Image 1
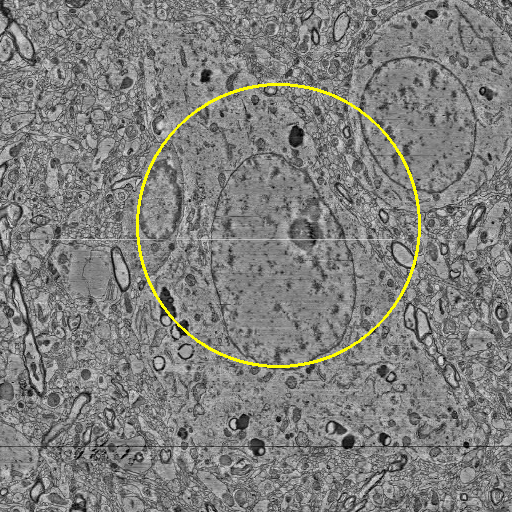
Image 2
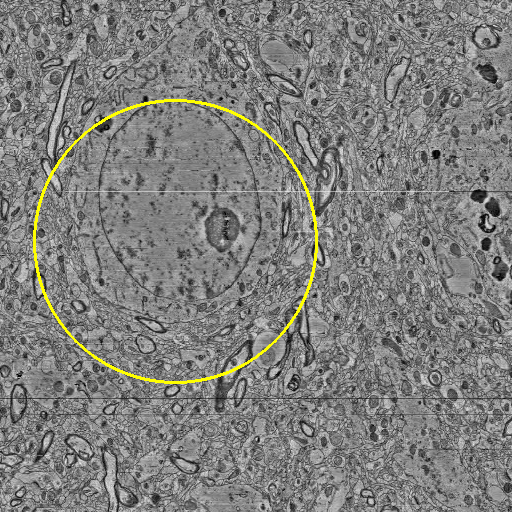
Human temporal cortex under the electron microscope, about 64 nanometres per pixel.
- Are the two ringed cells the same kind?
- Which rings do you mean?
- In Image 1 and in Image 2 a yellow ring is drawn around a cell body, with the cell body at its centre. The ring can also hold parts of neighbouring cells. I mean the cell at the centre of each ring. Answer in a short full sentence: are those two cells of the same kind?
Yes, both cells are of the same kind.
